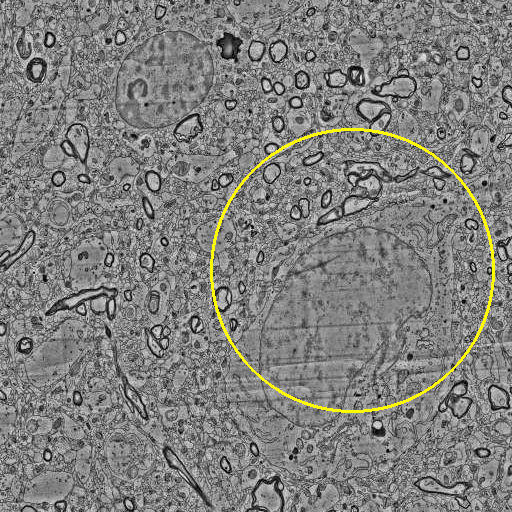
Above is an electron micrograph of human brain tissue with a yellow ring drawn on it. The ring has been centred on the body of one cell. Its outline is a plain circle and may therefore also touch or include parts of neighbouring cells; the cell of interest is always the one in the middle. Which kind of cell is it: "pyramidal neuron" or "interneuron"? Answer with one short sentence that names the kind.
The ring's central cell body is that of an interneuron.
